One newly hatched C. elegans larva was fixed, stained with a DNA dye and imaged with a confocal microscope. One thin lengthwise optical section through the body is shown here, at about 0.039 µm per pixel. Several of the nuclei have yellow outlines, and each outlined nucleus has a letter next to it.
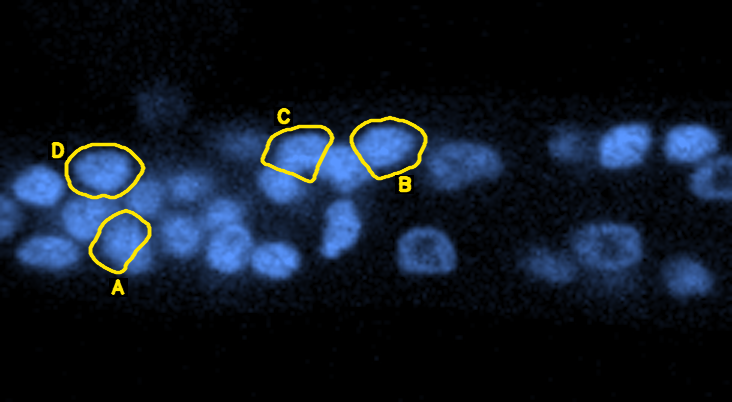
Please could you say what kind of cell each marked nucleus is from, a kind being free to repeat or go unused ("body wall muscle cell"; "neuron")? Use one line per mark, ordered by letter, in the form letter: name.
A: neuron
B: neuron
C: neuron
D: body wall muscle cell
